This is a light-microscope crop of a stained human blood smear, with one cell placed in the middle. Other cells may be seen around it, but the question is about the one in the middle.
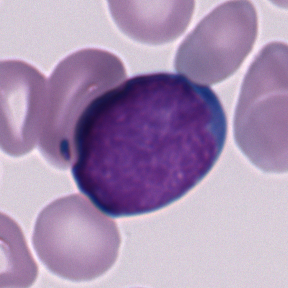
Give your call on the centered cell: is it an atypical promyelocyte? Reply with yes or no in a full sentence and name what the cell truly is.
No, the centrally located cell is a myeloblast rather than an atypical promyelocyte.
